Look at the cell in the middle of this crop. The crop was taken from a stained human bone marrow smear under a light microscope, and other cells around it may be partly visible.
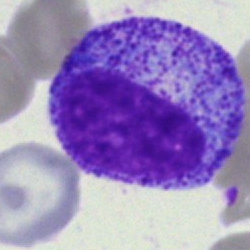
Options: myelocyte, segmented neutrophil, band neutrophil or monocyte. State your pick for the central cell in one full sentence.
For this crop, the central cell is a myelocyte.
